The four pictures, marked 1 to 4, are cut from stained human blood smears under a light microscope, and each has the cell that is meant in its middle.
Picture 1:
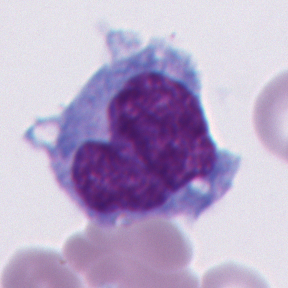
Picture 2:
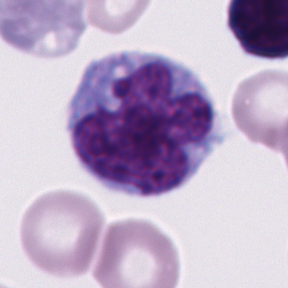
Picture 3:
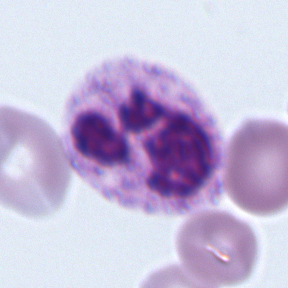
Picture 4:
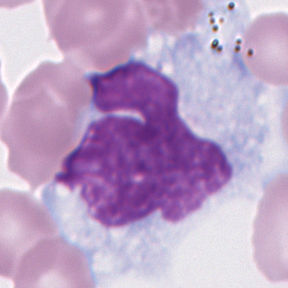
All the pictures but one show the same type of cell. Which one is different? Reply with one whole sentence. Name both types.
All pictures except 3 show monocytes; picture 3 shows a segmented neutrophil.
